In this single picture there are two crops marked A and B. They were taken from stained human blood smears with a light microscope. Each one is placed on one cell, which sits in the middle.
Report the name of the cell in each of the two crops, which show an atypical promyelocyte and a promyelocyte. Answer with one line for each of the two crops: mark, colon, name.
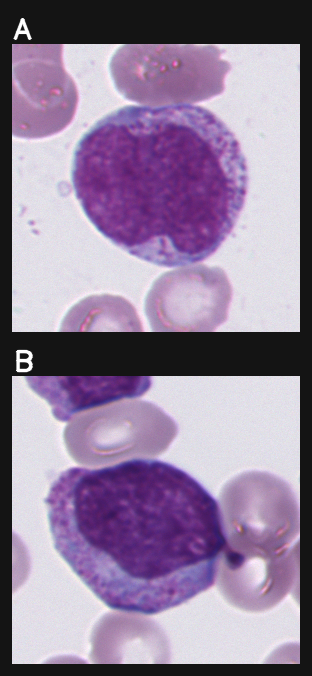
A: promyelocyte
B: atypical promyelocyte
